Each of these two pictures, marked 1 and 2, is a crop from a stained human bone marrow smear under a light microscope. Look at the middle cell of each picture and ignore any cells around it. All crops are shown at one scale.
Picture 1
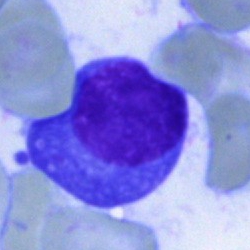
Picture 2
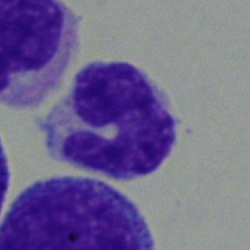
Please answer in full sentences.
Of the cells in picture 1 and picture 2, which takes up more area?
Picture 1 holds the larger cell; it covers about 1.5 times the area of the cell in picture 2.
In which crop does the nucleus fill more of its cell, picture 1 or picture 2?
Of the two, the nucleus in picture 2 makes up the greater part of its cell.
